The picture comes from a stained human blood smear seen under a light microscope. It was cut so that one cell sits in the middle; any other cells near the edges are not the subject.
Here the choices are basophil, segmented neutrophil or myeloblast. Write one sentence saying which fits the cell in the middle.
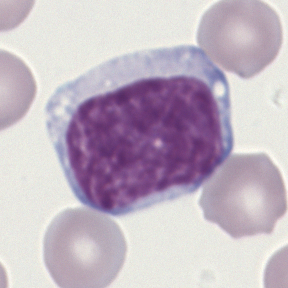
By type, the central cell of the crop is a myeloblast.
